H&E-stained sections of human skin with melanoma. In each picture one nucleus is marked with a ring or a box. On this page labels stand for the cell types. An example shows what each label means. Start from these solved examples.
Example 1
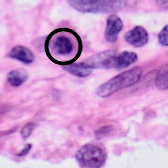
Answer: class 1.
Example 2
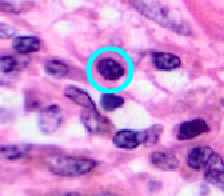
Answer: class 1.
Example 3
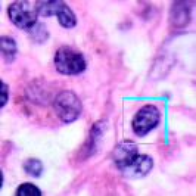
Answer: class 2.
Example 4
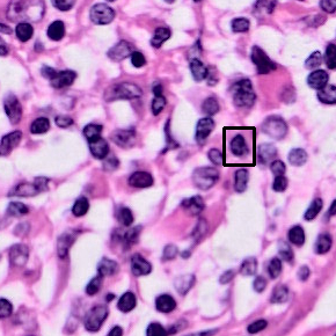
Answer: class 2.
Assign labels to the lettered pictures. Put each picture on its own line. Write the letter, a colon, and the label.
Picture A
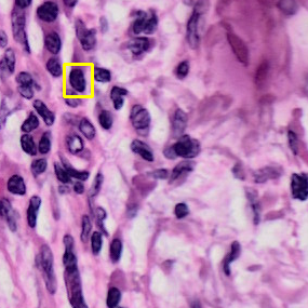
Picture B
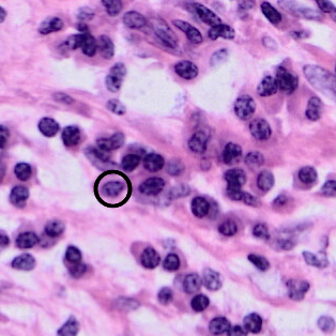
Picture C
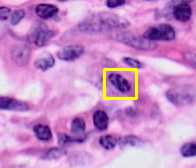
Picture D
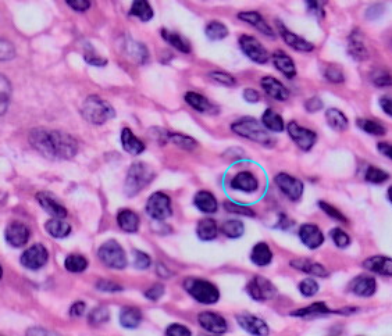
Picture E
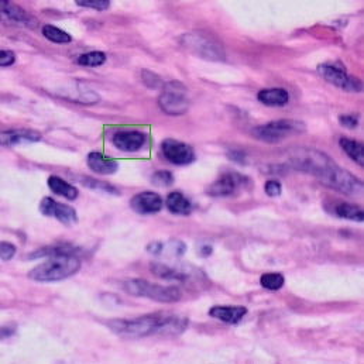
A: class 1.
B: class 1.
C: class 1.
D: class 2.
E: class 1.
